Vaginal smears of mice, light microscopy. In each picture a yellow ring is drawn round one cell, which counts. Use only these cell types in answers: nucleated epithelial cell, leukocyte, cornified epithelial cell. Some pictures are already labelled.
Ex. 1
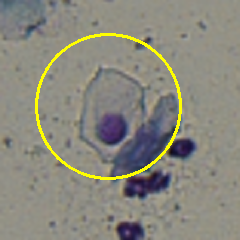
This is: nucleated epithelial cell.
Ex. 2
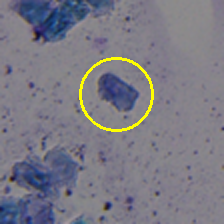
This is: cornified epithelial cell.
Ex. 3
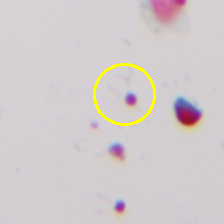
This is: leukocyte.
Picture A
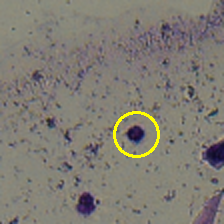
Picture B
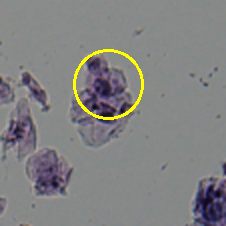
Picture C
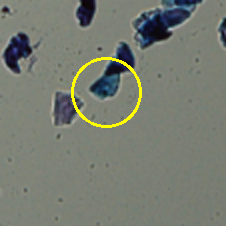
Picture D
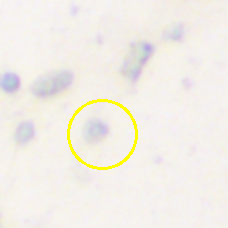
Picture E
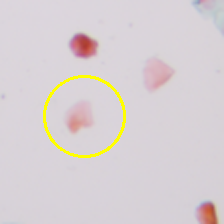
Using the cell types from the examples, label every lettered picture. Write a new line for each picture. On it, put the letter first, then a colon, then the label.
A: leukocyte.
B: nucleated epithelial cell.
C: cornified epithelial cell.
D: leukocyte.
E: cornified epithelial cell.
